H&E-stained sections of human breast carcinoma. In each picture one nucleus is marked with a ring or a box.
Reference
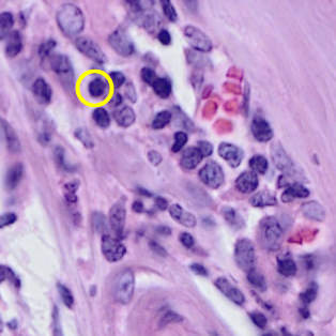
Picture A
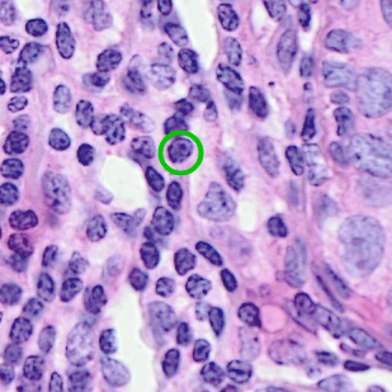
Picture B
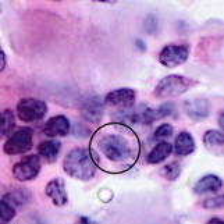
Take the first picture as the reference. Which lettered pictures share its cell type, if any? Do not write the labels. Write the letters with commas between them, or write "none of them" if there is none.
A, B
